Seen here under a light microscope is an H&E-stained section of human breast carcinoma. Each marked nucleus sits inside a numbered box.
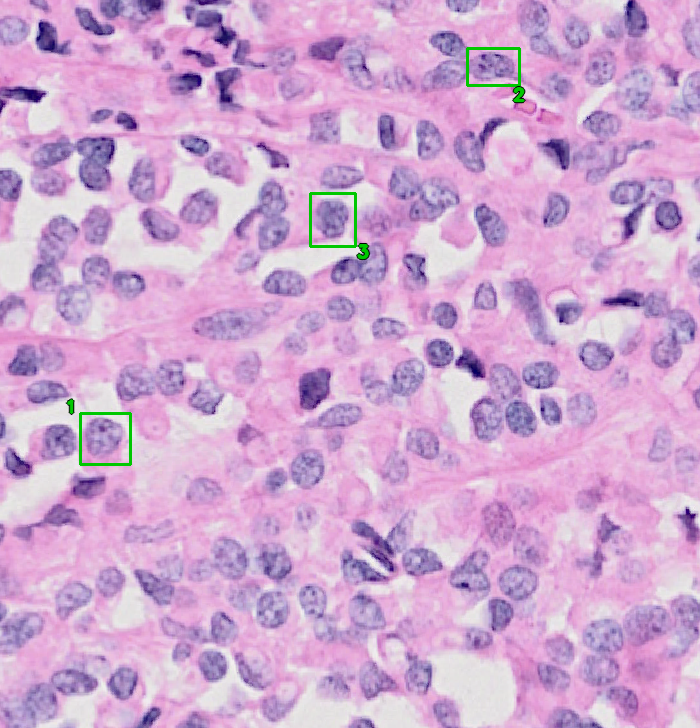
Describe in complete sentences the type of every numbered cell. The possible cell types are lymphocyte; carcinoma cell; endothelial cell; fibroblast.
Cell 1 is a carcinoma cell, cell 2 is an endothelial cell and cell 3 is a carcinoma cell.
